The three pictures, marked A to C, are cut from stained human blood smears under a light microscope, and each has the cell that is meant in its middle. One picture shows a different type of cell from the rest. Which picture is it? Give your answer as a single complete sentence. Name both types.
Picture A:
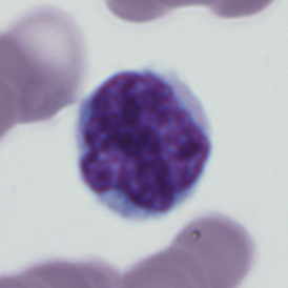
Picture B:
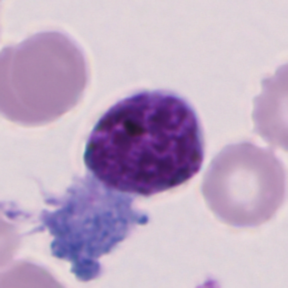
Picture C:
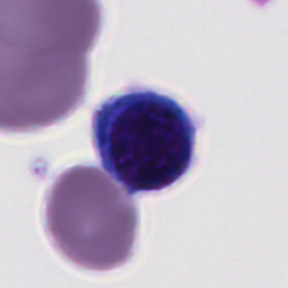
The others show plasma cells, but picture A shows a monocyte.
